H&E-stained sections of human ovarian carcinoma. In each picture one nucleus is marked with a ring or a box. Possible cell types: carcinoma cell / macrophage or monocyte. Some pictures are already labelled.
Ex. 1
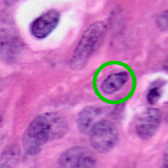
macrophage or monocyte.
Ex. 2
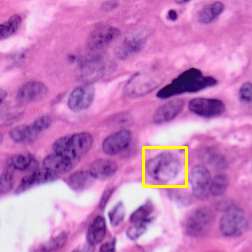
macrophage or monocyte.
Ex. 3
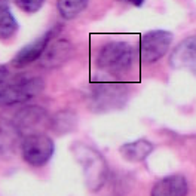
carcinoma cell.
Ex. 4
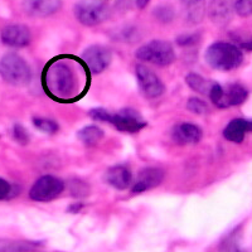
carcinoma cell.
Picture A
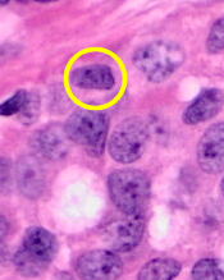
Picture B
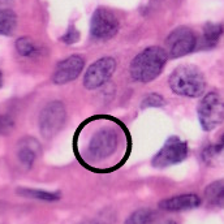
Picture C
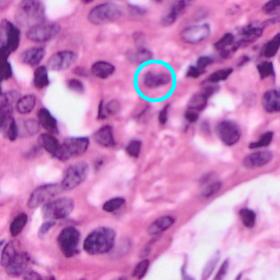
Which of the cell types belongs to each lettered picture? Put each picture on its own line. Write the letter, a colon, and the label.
A: macrophage or monocyte.
B: carcinoma cell.
C: macrophage or monocyte.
